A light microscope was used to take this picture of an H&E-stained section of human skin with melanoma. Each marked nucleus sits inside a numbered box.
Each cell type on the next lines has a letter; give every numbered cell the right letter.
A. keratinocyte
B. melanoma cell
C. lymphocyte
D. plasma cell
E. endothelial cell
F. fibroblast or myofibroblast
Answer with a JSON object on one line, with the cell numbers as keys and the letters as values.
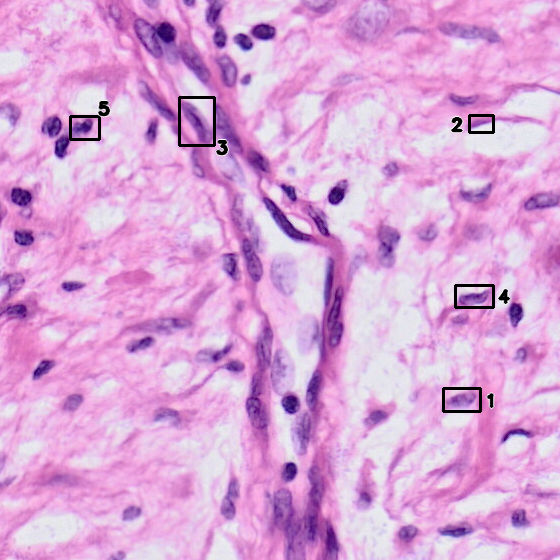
{"1": "F", "2": "F", "3": "E", "4": "F", "5": "C"}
